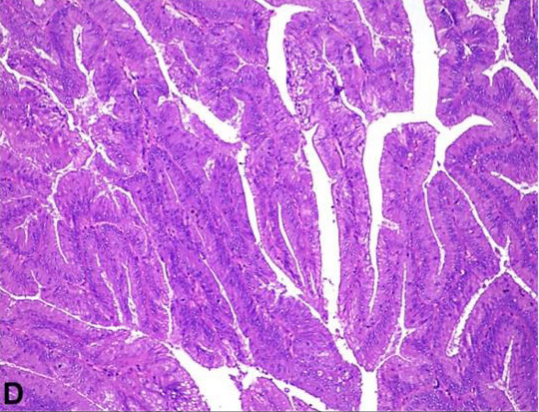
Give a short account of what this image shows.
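Closely packed, slender villous fronds fill the field, each with a thin pink fibrovascular core and separated from its neighbours by narrow white clefts. The fronds are lined by tall columnar epithelial cells whose nuclei are elongated, pencil-shaped, dark purple and crowded, stacked in a pseudostratified fashion toward the base, with pink to pale cytoplasm above.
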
